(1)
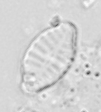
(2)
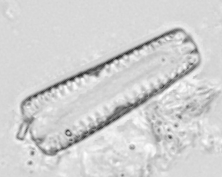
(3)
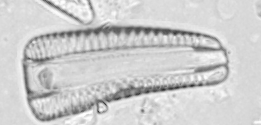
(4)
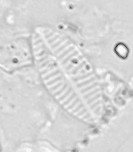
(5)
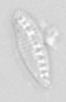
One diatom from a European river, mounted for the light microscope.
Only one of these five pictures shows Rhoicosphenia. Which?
Picture 3.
